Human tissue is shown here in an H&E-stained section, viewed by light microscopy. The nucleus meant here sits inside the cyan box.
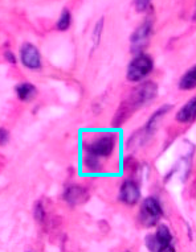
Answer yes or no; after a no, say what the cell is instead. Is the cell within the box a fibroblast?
No, it is a plasma cell.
